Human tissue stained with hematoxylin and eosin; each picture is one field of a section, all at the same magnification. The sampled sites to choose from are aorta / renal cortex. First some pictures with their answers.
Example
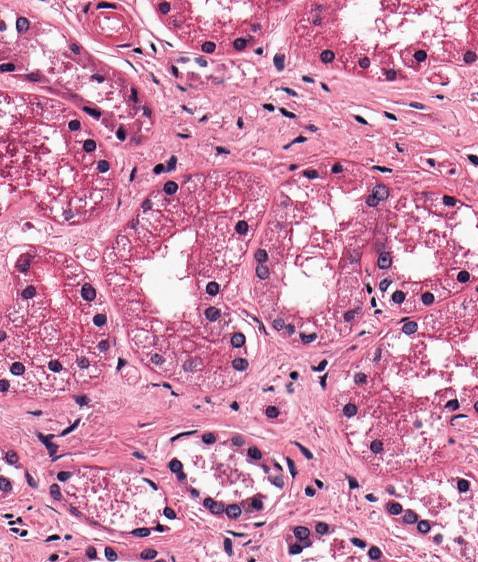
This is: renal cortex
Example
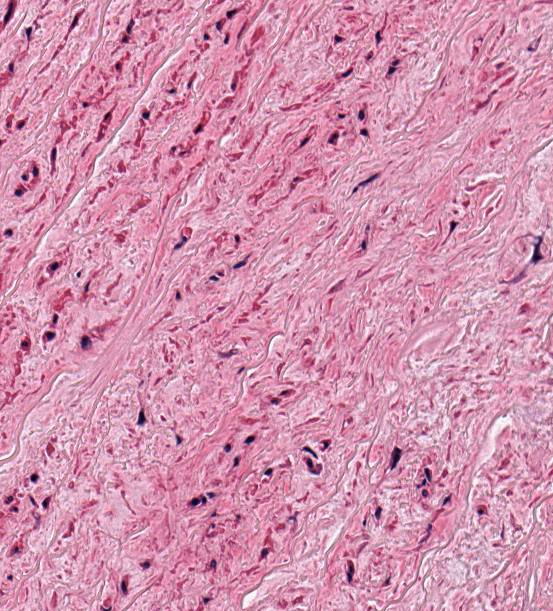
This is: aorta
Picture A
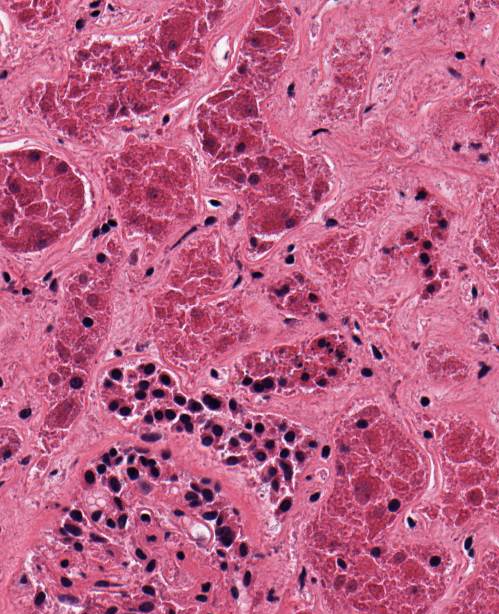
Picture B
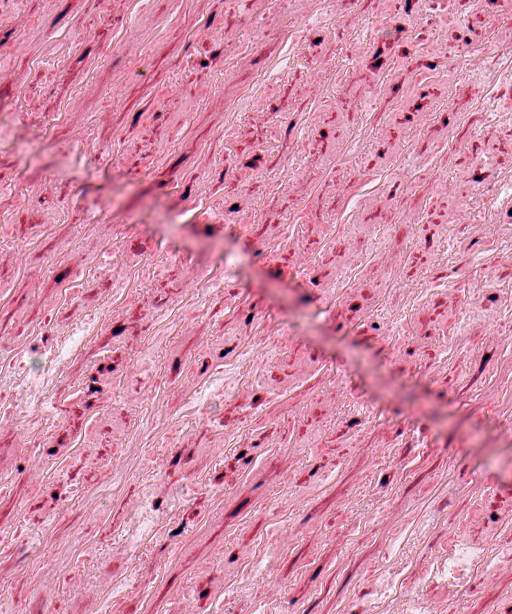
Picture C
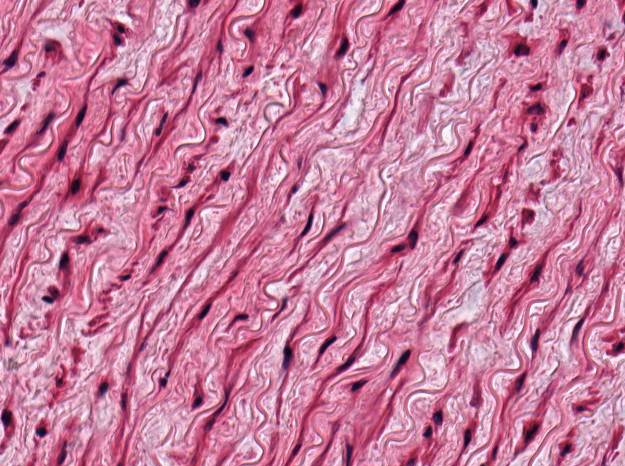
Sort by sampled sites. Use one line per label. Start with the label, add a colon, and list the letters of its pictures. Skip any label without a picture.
aorta: B, C
renal cortex: A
